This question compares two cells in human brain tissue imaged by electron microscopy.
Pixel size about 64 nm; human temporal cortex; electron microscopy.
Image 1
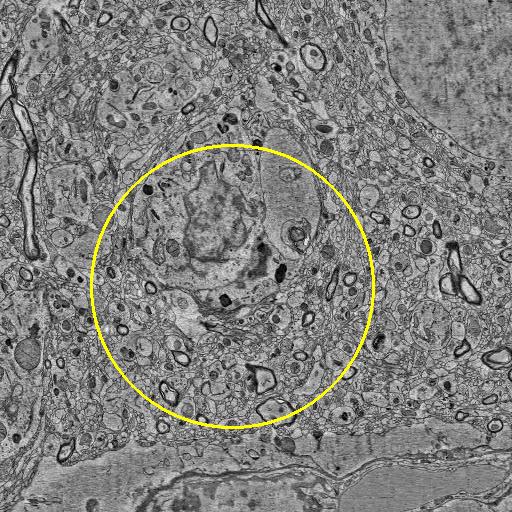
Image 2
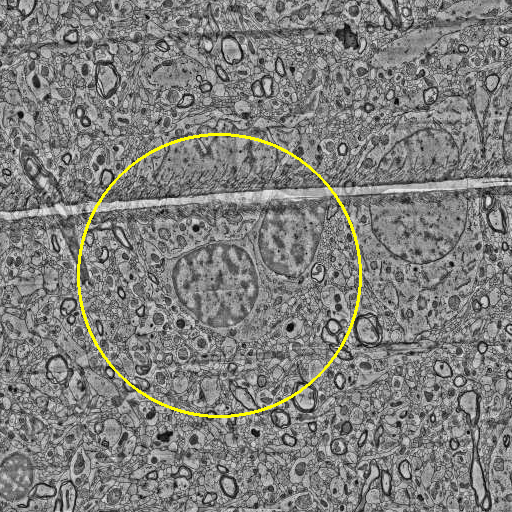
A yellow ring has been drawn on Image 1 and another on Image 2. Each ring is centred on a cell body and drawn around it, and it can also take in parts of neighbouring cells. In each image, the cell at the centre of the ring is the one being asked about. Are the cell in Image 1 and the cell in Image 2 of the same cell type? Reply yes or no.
no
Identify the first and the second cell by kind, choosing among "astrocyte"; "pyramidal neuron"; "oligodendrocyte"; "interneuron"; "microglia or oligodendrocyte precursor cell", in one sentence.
The one in the first picture is a microglial cell or oligodendrocyte precursor cell, while the one in the second is an oligodendrocyte.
